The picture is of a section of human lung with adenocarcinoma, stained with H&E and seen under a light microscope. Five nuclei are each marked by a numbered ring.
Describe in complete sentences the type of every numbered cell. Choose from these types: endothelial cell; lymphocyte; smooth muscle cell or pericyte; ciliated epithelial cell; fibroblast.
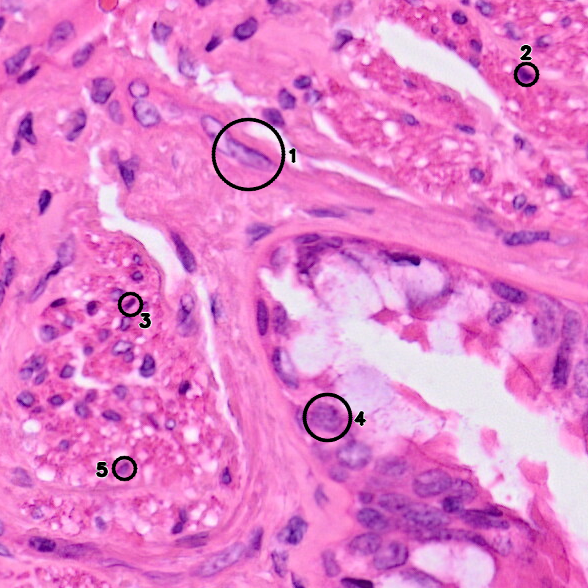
Cell 1 is an endothelial cell, cell 2 is a smooth muscle cell or pericyte, cell 3 is a smooth muscle cell or pericyte, cell 4 is a ciliated epithelial cell and cell 5 is a smooth muscle cell or pericyte.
